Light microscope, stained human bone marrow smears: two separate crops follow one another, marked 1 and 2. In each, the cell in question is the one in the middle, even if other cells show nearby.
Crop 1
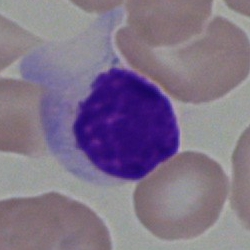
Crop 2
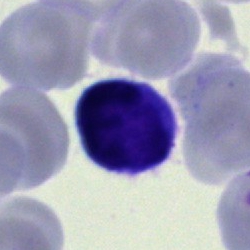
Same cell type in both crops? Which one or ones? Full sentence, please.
Yes, lymphocytes are the central cells in the two crops.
